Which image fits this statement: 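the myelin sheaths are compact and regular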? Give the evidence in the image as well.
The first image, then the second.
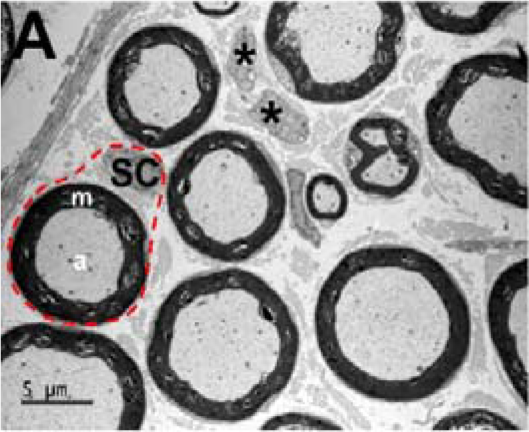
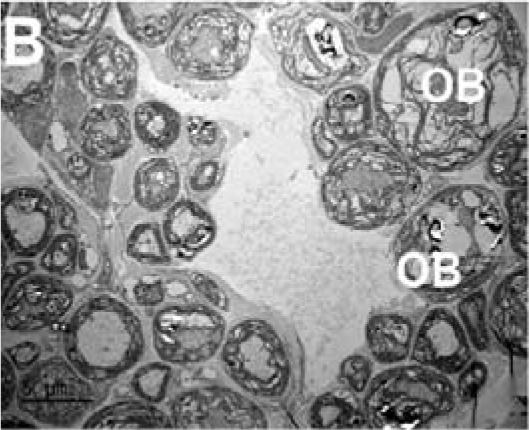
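Second image: fibers show irregular, folded and fragmented dark myelin with layered debris around them. First image: large axons are ringed by smooth, thick, evenly dark myelin bands. On this evidence: the first image.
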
